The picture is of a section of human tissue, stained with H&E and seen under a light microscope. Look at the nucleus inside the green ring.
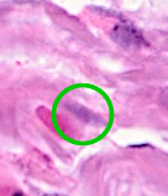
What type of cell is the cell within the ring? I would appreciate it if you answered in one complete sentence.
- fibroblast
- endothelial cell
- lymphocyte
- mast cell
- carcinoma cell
In the tissue under study, the cell within the ring is a fibroblast.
